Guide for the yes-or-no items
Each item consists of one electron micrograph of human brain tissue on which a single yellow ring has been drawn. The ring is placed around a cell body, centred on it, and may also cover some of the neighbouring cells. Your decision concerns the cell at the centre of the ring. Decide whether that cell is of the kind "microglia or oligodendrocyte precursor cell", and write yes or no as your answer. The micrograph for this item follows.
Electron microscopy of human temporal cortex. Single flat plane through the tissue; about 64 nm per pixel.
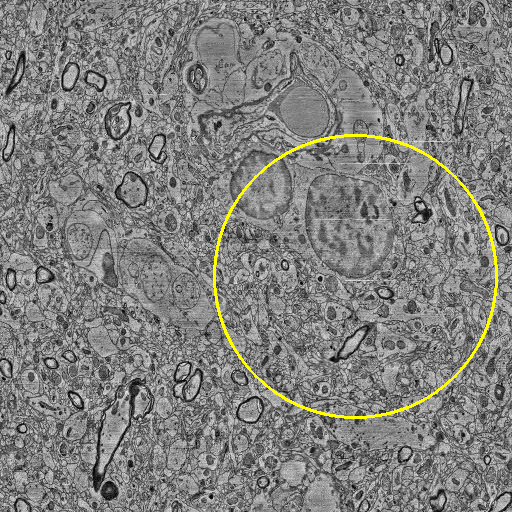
no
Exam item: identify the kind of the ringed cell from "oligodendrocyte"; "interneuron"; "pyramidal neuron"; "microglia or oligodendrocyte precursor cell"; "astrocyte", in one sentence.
In this picture, the ring is centred on an oligodendrocyte.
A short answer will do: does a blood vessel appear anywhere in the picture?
Yes, a vessel appears in the picture.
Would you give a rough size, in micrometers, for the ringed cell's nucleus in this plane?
Roughly 7 by 6 micrometres is the size of the nucleus in this plane.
